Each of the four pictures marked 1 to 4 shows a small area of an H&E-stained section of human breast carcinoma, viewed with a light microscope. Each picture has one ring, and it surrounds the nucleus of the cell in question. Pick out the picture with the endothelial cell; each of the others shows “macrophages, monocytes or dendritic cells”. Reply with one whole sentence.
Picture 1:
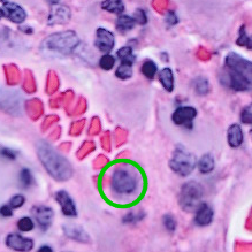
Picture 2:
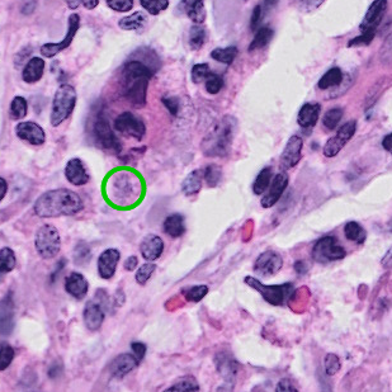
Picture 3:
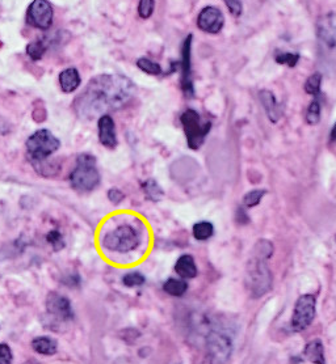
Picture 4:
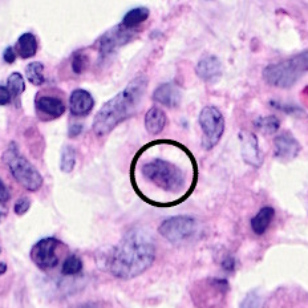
Picture 1 is the one that shows the endothelial cell.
